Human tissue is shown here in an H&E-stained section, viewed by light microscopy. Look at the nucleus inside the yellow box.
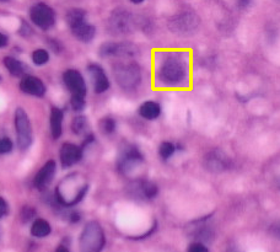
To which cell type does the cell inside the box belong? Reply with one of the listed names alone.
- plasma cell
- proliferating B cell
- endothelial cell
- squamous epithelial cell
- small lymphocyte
squamous epithelial cell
